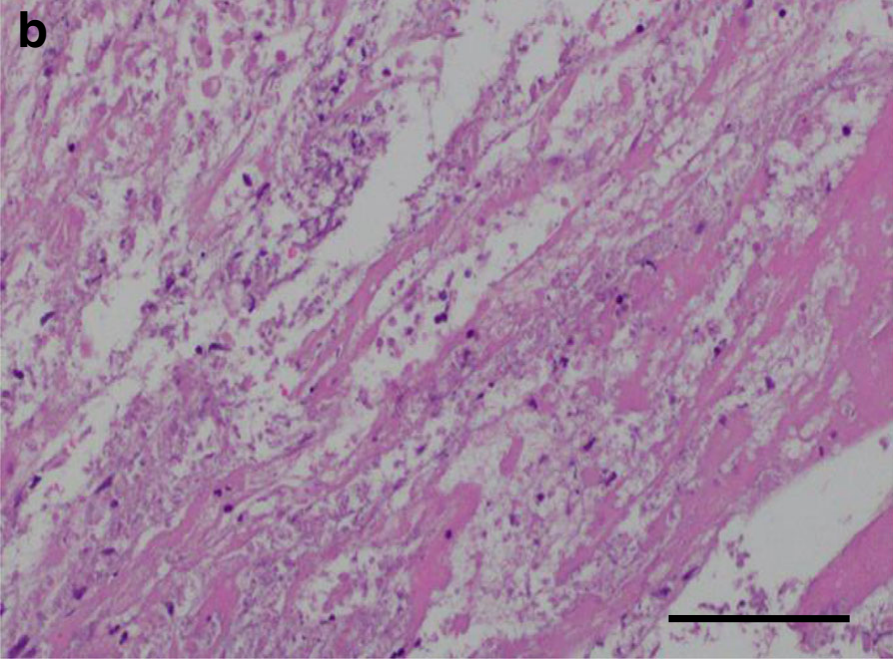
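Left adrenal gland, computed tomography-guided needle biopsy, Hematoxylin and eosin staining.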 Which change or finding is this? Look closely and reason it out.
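Pale pink amorphous material without intact cell outlines. Only scattered small dark, shrunken or fragmented nuclei. Loose, frayed tissue with many empty clefts. The answer: Necrosis.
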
